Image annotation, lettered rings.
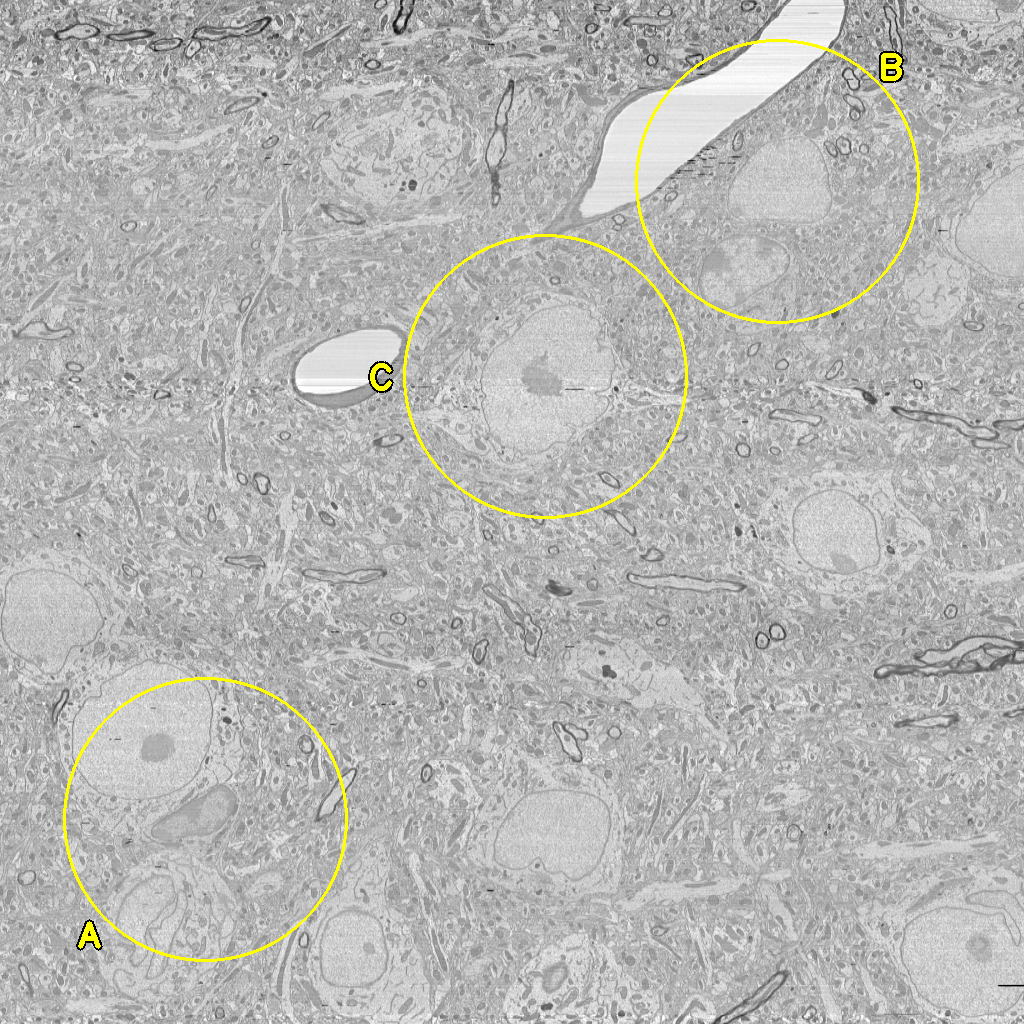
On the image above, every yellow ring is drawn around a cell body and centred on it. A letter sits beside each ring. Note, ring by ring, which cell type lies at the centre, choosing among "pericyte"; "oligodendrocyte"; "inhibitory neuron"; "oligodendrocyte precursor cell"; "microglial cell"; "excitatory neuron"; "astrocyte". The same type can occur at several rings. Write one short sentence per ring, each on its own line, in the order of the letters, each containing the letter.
Ring A has a microglial cell at its centre.
Ring B has an astrocyte at its centre.
Ring C has an inhibitory neuron at its centre.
